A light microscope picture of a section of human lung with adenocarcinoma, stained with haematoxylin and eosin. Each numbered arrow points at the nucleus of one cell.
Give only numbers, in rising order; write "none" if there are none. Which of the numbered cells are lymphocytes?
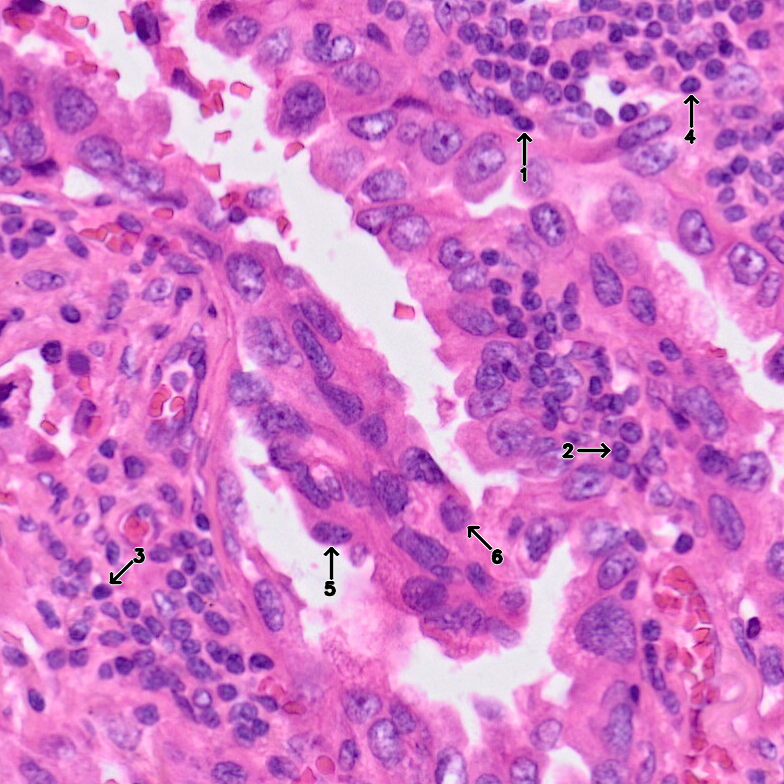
1, 2, 3, 4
